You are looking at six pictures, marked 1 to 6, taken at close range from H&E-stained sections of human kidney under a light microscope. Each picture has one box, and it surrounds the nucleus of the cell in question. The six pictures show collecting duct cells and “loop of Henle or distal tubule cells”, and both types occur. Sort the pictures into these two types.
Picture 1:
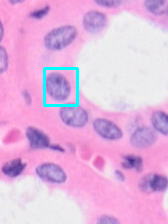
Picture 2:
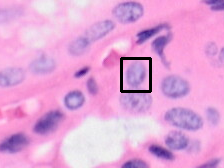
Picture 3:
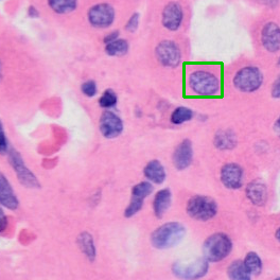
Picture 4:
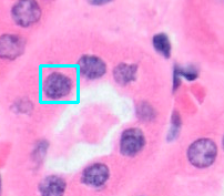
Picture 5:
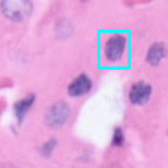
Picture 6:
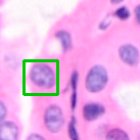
1: collecting duct cell
2: collecting duct cell
3: loop of Henle or distal tubule cell
4: loop of Henle or distal tubule cell
5: loop of Henle or distal tubule cell
6: loop of Henle or distal tubule cell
